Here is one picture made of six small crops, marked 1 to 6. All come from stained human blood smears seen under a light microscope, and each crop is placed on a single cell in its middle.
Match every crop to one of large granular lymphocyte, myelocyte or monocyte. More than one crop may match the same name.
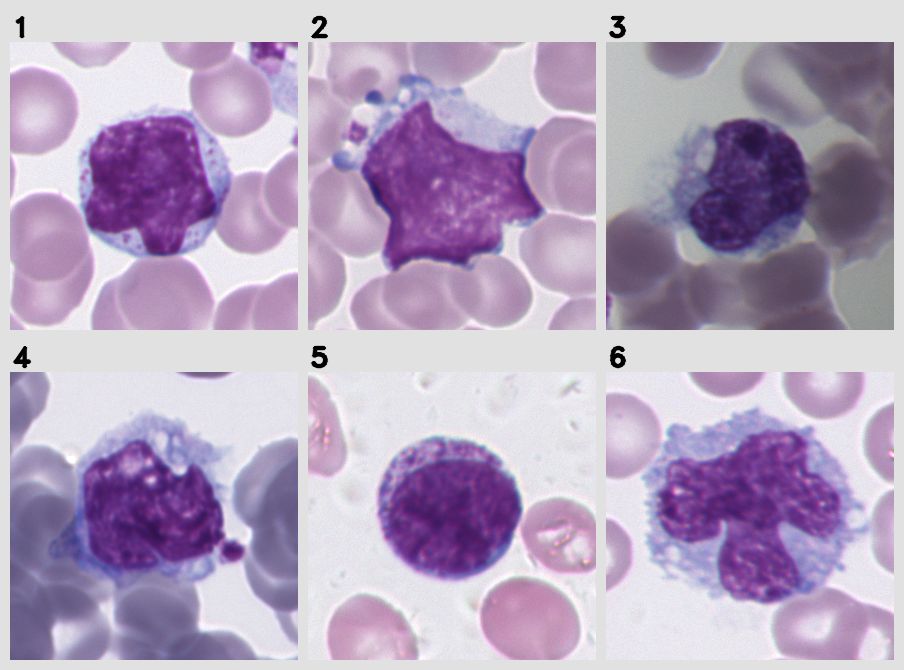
1: large granular lymphocyte
2: monocyte
3: monocyte
4: monocyte
5: myelocyte
6: monocyte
